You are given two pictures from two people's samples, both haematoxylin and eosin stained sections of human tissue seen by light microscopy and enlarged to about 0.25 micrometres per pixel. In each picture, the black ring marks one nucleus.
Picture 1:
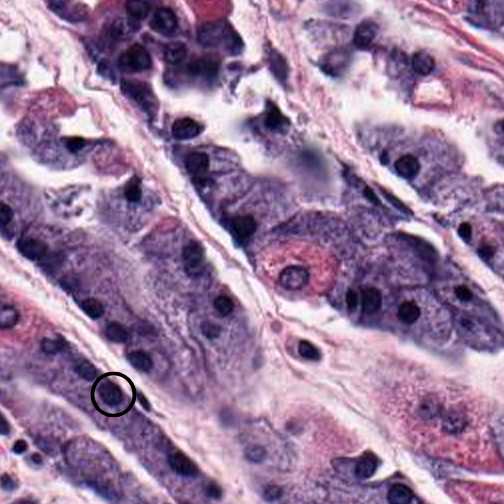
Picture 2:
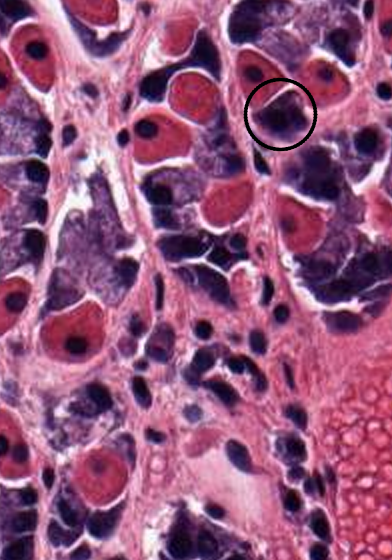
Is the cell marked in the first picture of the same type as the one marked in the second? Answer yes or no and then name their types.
Yes, both are chief cells.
